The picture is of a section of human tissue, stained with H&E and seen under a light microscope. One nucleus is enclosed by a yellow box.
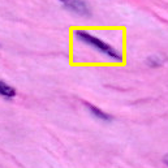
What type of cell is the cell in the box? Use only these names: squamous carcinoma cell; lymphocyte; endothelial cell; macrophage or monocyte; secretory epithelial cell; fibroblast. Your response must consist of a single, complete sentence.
In the tissue under study, the cell in the box is a fibroblast.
